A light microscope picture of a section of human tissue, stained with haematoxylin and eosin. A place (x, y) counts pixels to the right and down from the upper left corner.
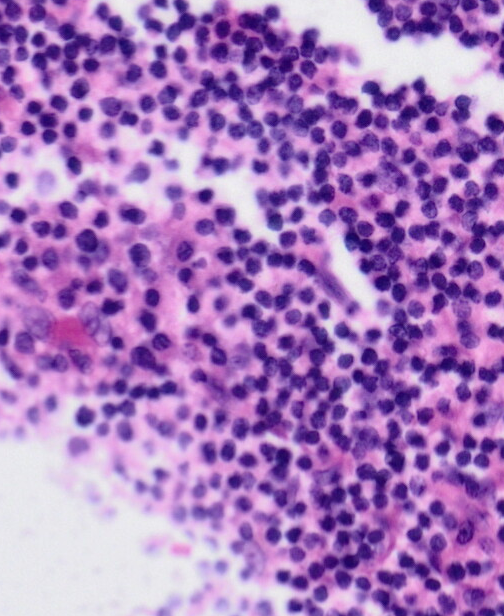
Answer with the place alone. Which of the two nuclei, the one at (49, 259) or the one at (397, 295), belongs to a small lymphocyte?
(397, 295)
